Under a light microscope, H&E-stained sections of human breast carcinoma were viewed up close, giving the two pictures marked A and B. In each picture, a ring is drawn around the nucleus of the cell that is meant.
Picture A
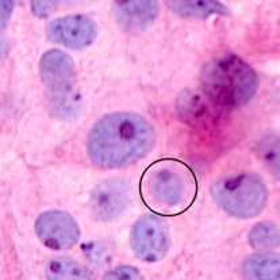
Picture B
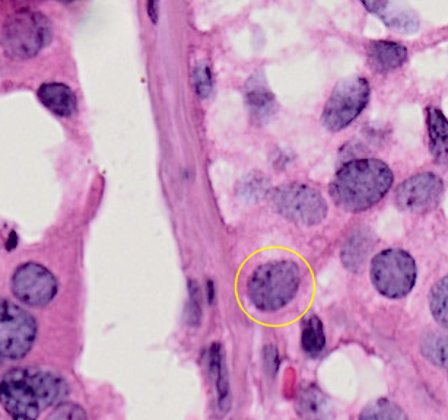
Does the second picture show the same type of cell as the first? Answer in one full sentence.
Yes, the two pictures both show carcinoma cells.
